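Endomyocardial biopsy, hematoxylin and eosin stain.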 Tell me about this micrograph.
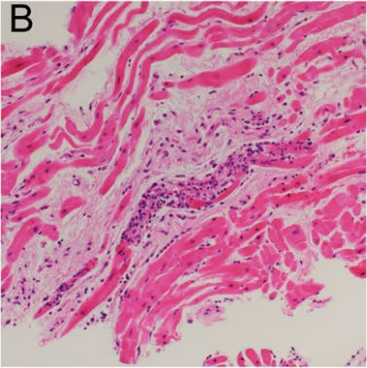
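Heart muscle with an inflammatory infiltrate: pink, elongated cardiomyocytes run in oblique bundles, and through the middle of the field a dense band of small cells with round, dark purple nuclei and scant cytoplasm crowds the interstitium. Around this band the muscle fibers are pulled apart by loose, pale pink connective tissue, and several fibers look short, broken or frayed at their ends. Elsewhere the cardiomyocytes show pink cytoplasm with sparse, elongated central nuclei, and thin strands of interstitial tissue carry a few scattered nuclei between them.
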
